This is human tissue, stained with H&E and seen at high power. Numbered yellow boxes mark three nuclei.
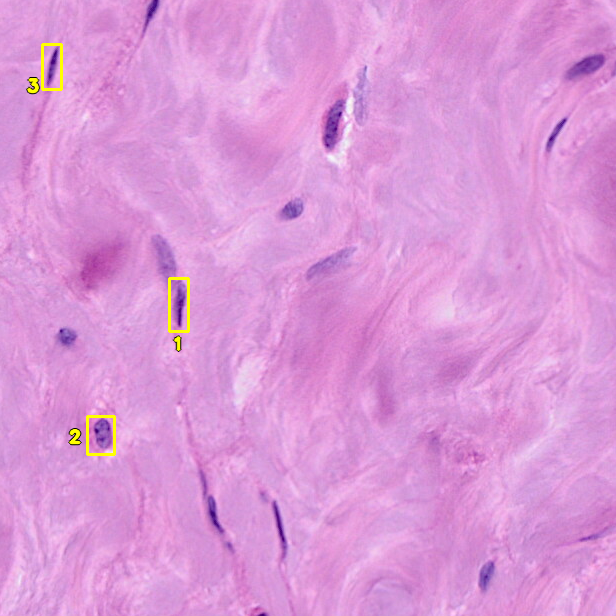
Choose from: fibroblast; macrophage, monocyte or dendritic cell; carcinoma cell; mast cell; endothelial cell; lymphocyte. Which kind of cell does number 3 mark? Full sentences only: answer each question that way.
Classified as a fibroblast is the cell with the number 3.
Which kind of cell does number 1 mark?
The cell assigned the number 1 is a fibroblast.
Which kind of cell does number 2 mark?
Belonging to a mast cell is the nucleus that carries the number 2.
